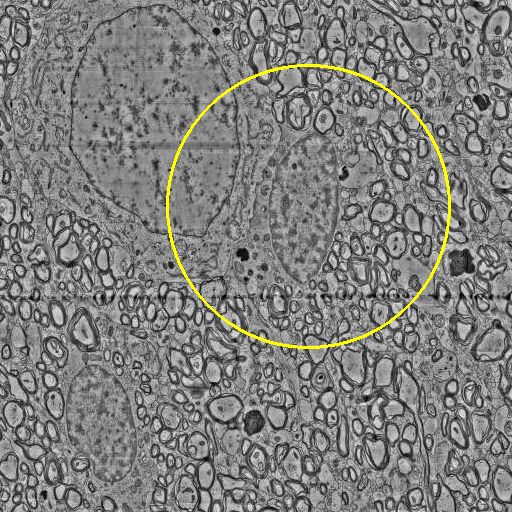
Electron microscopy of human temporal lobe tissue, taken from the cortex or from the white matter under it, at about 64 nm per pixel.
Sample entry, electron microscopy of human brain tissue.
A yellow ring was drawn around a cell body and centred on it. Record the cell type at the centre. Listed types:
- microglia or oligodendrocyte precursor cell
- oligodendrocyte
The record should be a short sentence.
The cell at the ring's centre is an oligodendrocyte.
